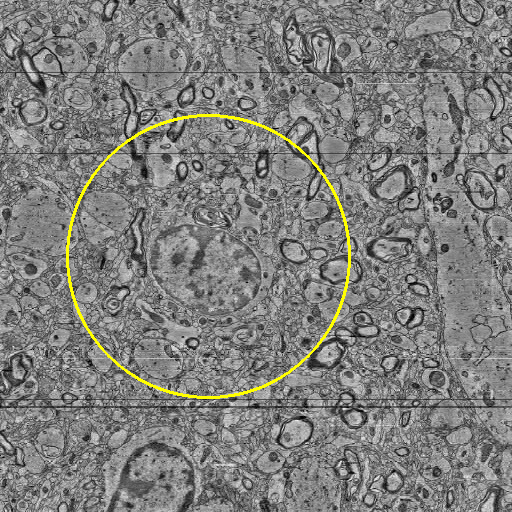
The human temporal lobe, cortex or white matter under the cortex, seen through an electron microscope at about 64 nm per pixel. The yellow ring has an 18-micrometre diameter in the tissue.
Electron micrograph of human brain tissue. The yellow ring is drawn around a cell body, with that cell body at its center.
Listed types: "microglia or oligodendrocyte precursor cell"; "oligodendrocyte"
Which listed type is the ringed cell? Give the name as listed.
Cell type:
oligodendrocyte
